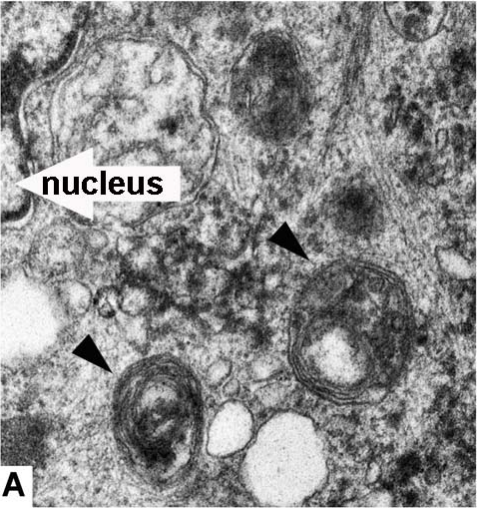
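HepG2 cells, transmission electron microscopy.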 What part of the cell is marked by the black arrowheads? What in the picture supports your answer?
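Multimembranous autophagic vacuoles. The marked oval bodies are bounded by several concentric membranes. They enclose cytoplasm-like material of varying density.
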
